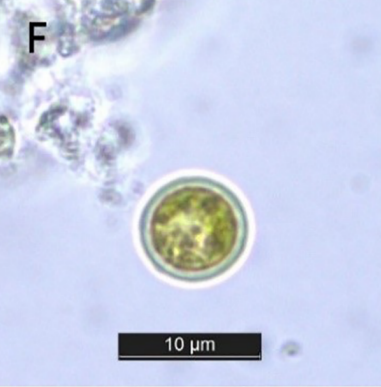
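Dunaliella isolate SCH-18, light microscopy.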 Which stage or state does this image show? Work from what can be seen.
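No flagella are visible. A smooth, distinct outer wall encloses green granular contents.
Aplanospore.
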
